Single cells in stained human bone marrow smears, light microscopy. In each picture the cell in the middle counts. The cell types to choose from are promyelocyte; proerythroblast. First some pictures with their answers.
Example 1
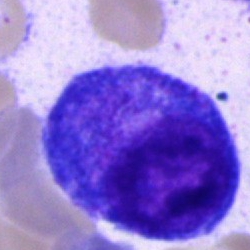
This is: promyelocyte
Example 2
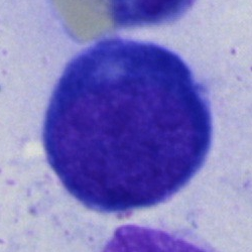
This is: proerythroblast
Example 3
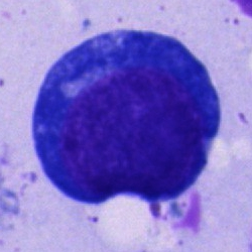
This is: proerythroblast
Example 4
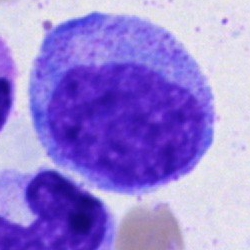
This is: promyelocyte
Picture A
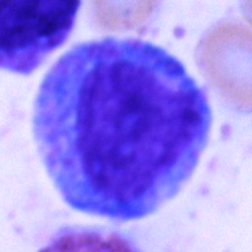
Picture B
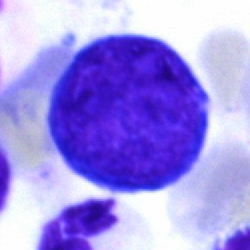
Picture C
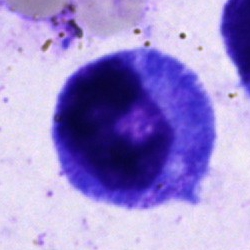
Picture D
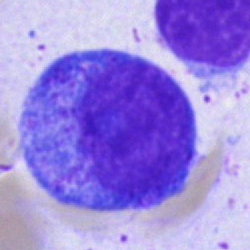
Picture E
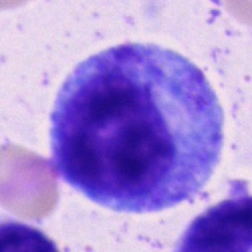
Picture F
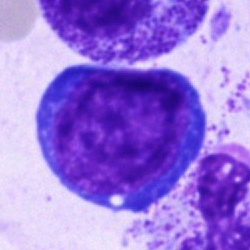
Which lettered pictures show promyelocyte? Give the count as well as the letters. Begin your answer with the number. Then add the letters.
Count: 4 (A, C, D, E)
